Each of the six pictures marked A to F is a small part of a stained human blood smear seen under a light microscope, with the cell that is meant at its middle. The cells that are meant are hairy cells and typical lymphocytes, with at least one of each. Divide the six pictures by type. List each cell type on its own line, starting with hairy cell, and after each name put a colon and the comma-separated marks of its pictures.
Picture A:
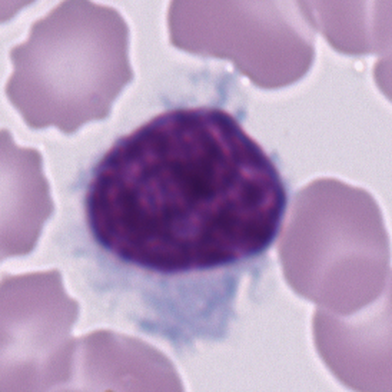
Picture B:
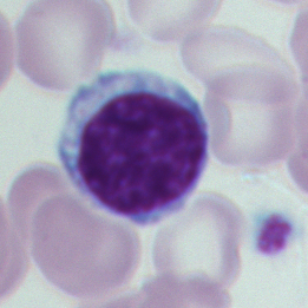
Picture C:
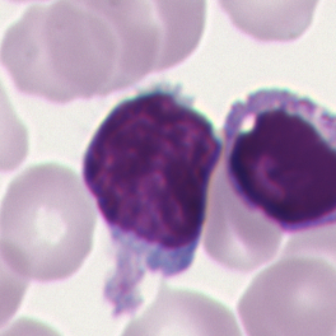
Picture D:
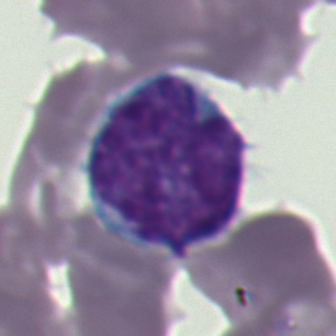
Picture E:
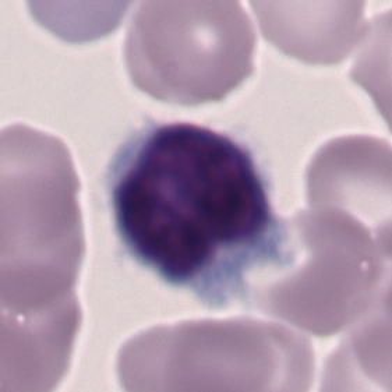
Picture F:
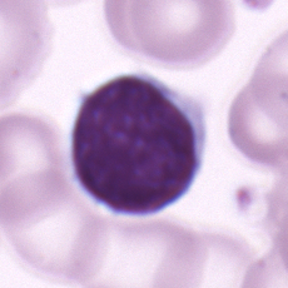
hairy cell: A, E
typical lymphocyte: B, C, D, F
